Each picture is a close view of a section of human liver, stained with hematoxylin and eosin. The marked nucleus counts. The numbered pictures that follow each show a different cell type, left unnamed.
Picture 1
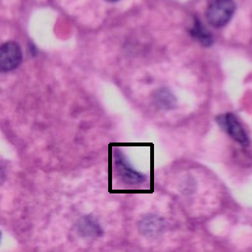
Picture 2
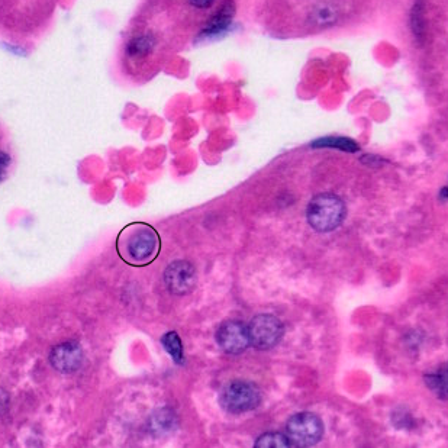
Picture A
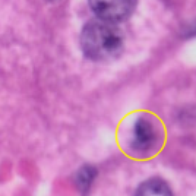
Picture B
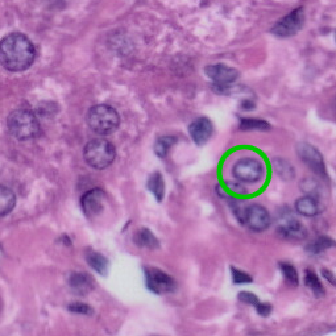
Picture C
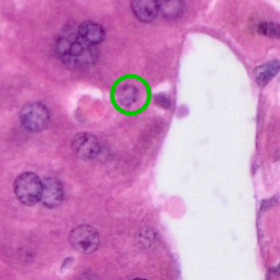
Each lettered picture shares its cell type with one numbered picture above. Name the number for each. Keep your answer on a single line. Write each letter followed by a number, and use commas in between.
A 1, B 2, C 2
